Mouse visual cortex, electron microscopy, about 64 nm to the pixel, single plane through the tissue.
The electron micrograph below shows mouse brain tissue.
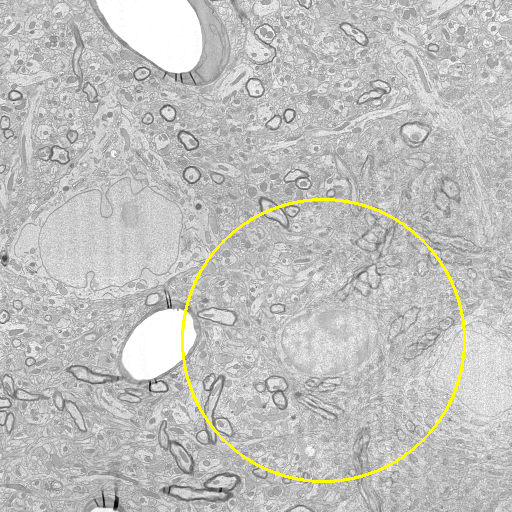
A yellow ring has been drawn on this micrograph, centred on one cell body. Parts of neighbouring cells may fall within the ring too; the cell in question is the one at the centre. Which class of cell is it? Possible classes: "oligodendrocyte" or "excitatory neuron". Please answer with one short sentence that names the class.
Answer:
In the centre of the ring sits an oligodendrocyte.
